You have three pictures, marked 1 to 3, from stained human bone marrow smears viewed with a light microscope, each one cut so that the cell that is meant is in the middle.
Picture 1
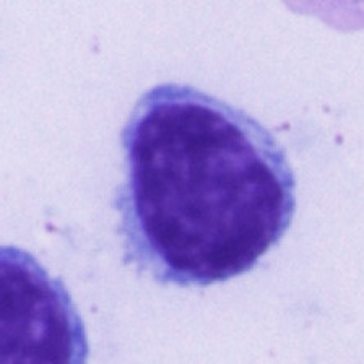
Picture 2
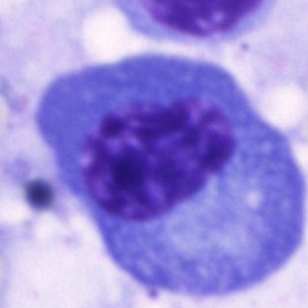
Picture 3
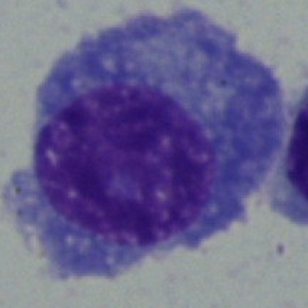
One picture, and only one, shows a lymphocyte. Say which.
1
